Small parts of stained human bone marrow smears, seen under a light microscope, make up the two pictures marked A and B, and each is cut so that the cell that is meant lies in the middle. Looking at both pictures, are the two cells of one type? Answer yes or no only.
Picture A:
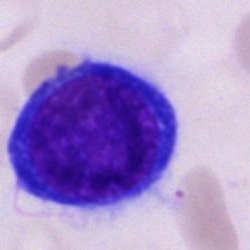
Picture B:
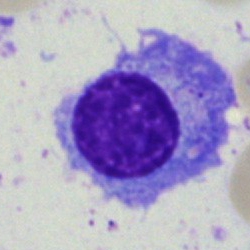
no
